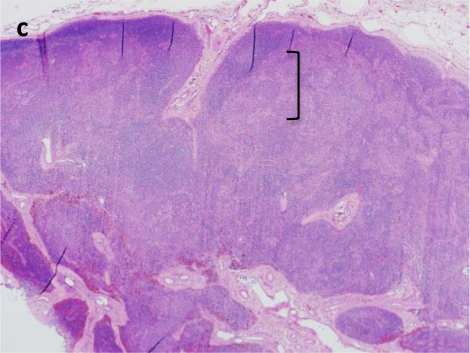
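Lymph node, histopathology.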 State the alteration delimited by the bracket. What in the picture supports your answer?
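A broad, dense band of cells fills the node beneath the capsule.
Expansion of paracortical lymphocytes.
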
